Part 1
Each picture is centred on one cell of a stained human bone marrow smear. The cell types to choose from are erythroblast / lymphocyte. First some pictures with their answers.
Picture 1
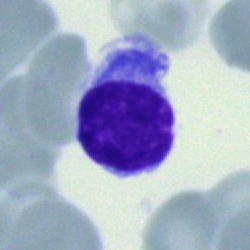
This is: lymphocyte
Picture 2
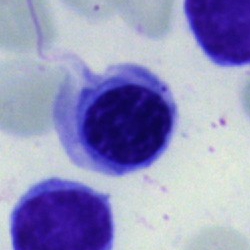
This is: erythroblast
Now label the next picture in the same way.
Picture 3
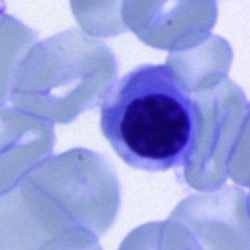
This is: erythroblast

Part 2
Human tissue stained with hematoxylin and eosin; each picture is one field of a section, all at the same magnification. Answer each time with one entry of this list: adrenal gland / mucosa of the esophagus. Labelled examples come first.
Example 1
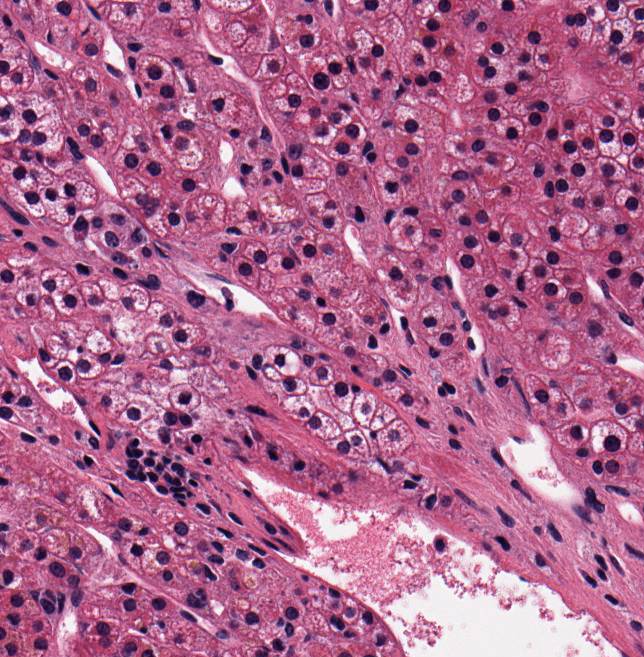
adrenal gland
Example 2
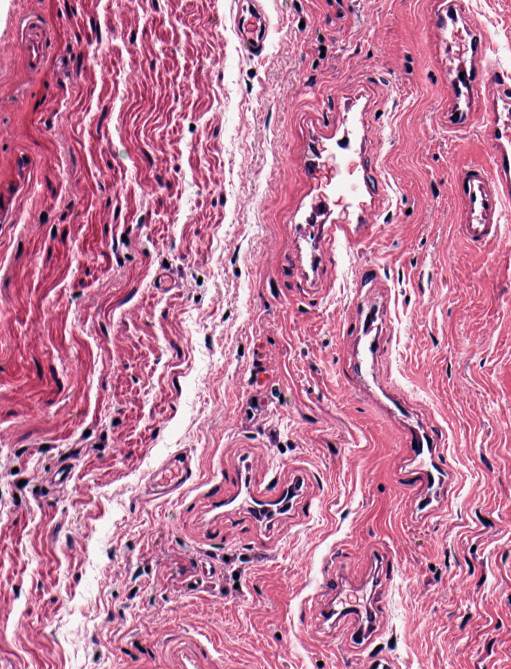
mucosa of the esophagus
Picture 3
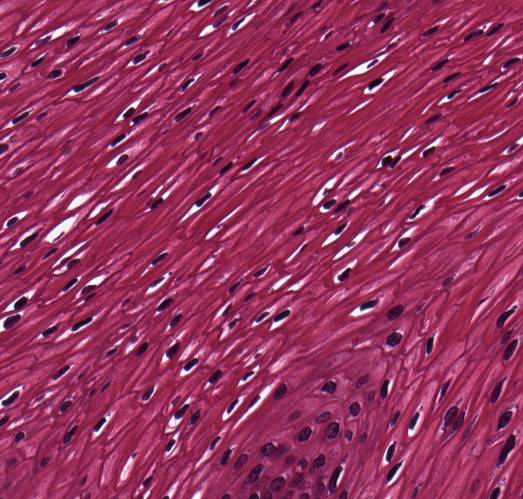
mucosa of the esophagus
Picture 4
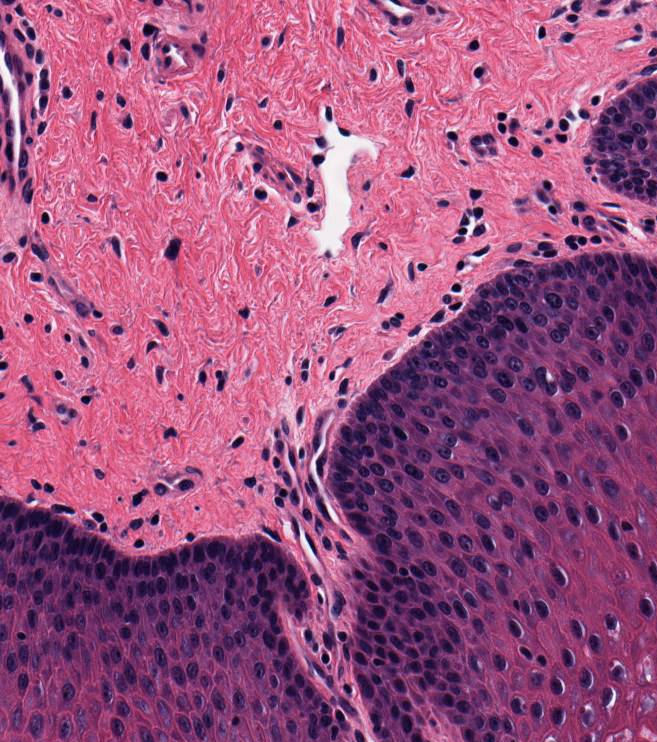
mucosa of the esophagus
